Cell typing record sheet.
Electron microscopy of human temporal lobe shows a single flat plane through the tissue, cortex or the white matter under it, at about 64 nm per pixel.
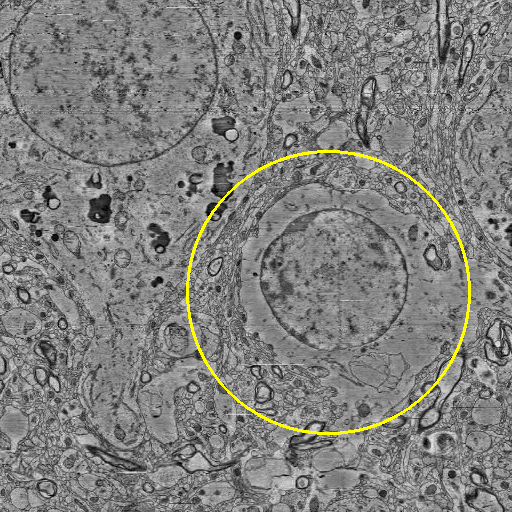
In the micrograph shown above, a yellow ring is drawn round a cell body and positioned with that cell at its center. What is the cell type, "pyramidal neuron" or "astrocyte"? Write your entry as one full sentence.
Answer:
The cell body at the center of the ring belongs to an astrocyte.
